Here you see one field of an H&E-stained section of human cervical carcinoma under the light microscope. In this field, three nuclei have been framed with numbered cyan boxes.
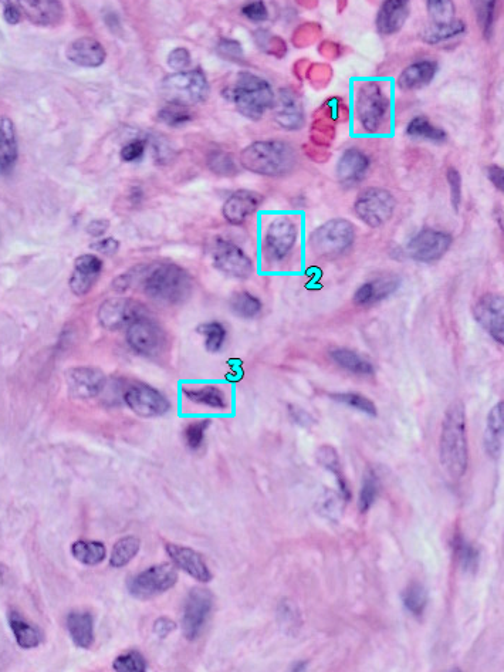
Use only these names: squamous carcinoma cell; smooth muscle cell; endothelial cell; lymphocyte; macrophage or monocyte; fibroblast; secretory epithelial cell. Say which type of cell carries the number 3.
lymphocyte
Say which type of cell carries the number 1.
endothelial cell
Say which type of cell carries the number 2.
endothelial cell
